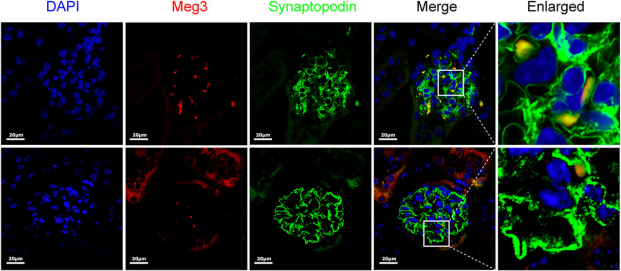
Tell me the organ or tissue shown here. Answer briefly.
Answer: Glomeruli.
